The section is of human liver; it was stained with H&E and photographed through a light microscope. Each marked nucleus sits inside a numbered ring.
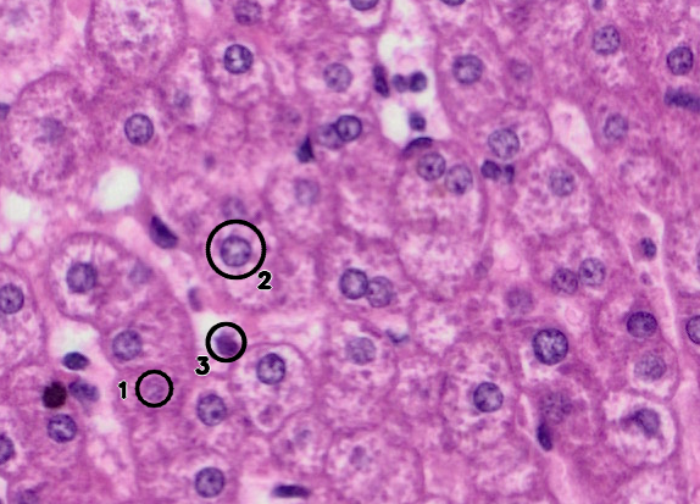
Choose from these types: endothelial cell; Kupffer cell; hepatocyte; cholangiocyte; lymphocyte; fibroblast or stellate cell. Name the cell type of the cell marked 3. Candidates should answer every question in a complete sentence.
It is as a Kupffer cell that the cell numbered 3 is identified.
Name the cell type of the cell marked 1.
It is as a hepatocyte that the cell numbered 1 is identified.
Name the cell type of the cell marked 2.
Among the marked nuclei, number 2 belongs to a hepatocyte.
